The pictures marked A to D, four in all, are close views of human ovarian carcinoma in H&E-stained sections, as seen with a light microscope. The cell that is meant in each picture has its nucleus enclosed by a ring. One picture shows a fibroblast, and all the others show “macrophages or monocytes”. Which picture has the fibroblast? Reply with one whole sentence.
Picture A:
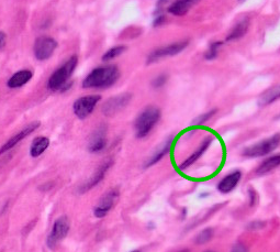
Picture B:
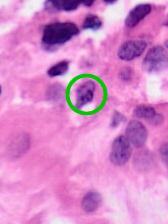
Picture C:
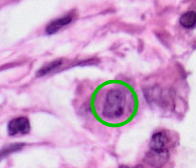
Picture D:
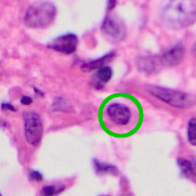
Picture A is the one that shows the fibroblast.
